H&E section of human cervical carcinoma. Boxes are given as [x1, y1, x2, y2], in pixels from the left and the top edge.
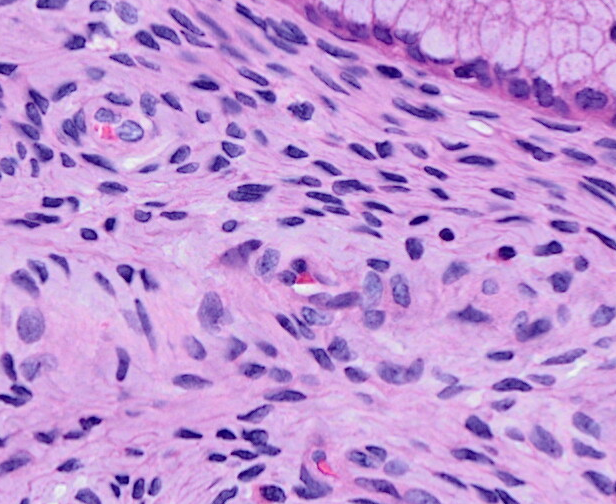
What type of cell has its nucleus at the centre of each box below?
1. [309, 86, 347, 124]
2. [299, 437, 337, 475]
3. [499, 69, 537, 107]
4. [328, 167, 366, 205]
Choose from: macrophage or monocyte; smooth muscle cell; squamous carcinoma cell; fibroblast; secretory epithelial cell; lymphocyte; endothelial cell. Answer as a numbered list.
1. fibroblast
2. endothelial cell
3. secretory epithelial cell
4. fibroblast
